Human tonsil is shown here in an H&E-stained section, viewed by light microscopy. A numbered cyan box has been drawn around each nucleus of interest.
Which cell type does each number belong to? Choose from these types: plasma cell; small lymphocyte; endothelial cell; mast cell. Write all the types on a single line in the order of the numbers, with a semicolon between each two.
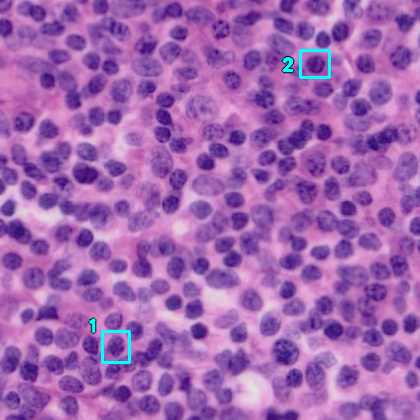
small lymphocyte; plasma cell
